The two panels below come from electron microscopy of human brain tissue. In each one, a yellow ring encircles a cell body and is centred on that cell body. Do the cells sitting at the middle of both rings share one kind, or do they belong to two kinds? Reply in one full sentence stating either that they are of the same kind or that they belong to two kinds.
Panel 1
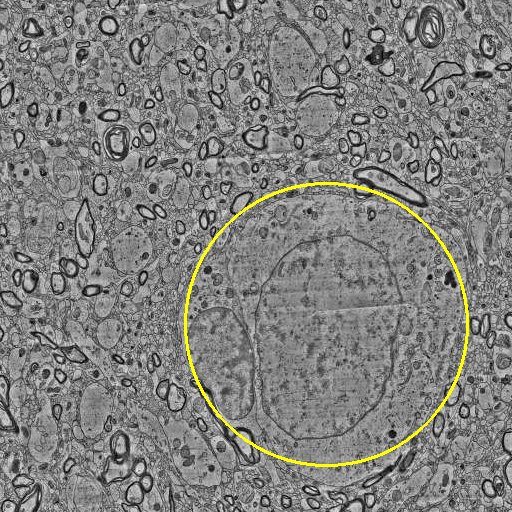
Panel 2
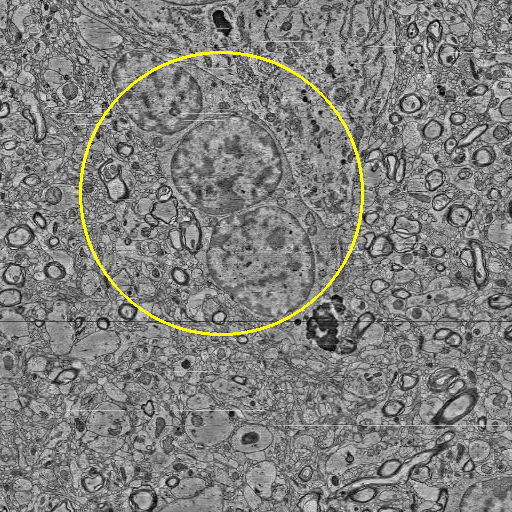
The cells at the centres of the two rings belong to two kinds.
